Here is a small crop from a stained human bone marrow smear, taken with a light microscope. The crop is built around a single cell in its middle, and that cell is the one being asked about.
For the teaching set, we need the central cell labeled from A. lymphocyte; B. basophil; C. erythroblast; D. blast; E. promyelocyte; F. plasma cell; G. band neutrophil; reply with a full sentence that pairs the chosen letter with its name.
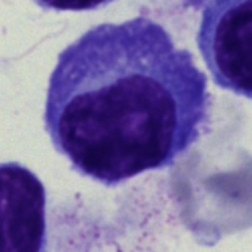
In this crop the central cell is a plasma cell, which option F correctly states.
